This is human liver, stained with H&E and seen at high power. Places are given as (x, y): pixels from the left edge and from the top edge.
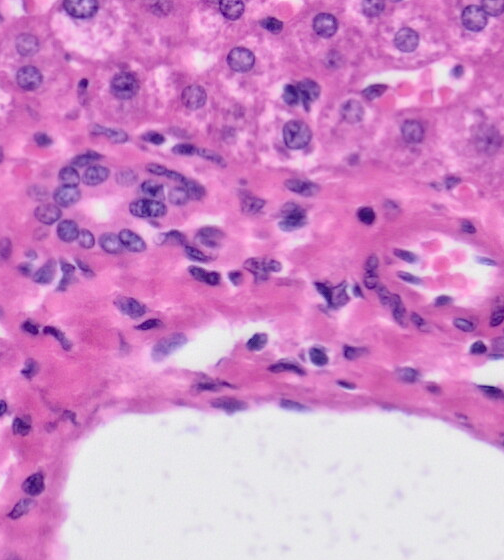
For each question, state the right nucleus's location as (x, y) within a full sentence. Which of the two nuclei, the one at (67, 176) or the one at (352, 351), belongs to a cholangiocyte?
Of the two, the nucleus lying at (67, 176) is the one belonging to a cholangiocyte.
